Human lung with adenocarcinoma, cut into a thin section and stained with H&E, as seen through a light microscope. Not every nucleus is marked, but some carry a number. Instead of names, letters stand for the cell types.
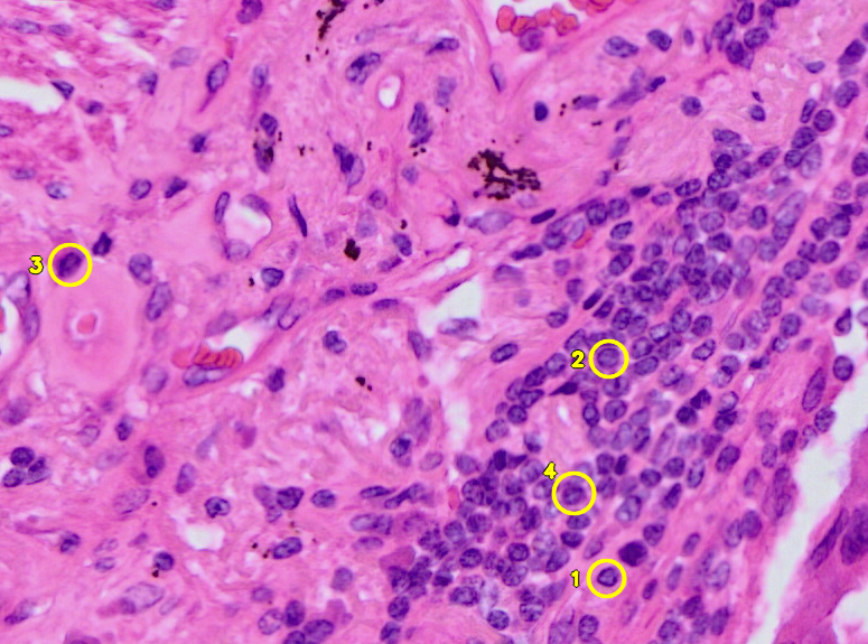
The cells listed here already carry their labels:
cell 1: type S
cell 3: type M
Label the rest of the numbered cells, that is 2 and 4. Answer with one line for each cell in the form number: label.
2: type S
4: type S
